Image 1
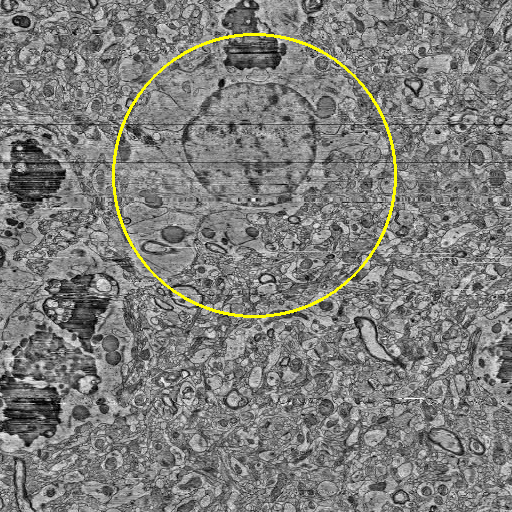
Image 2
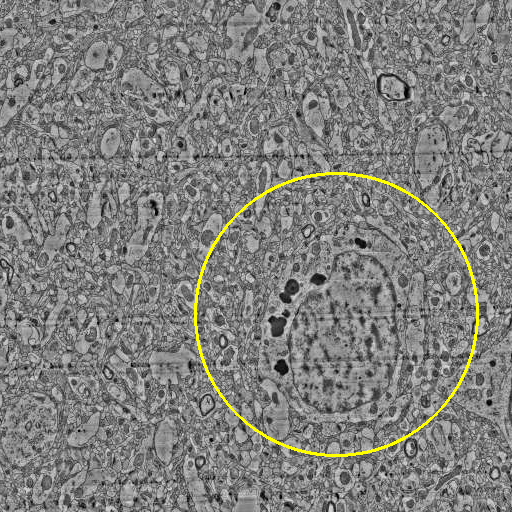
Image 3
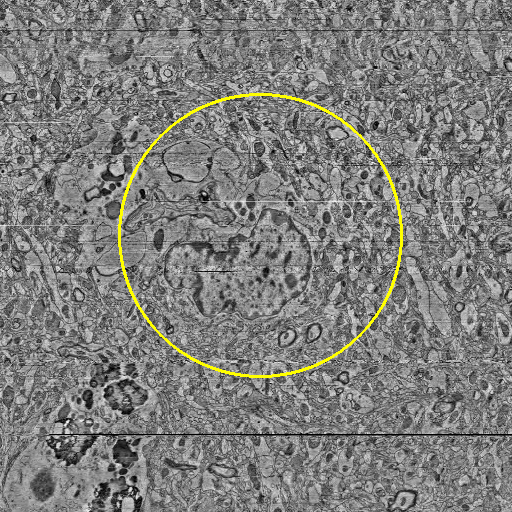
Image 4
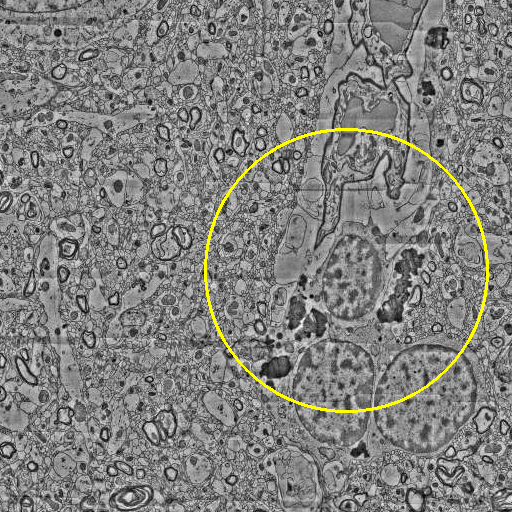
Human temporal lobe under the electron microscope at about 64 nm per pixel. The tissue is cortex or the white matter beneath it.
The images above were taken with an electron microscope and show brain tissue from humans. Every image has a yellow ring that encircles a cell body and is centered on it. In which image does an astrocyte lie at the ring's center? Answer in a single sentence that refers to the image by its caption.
In Image 1, the cell at the center of the yellow ring is the correct match.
